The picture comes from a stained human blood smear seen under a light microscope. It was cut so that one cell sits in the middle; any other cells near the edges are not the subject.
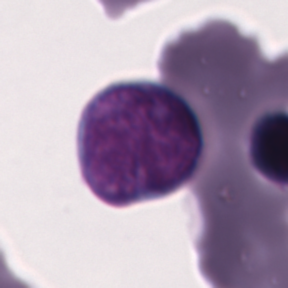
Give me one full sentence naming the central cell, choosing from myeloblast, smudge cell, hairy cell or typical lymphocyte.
At the middle of the frame sits a myeloblast.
